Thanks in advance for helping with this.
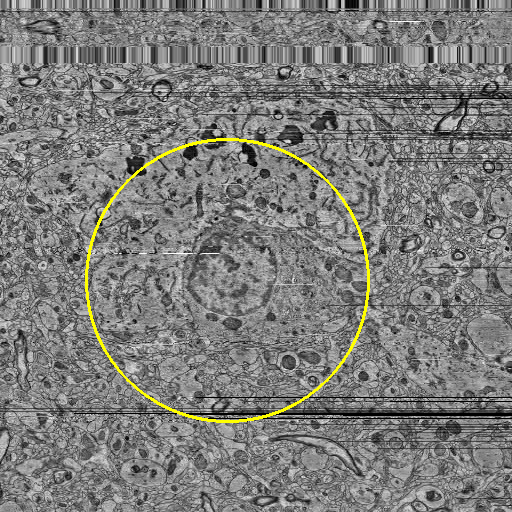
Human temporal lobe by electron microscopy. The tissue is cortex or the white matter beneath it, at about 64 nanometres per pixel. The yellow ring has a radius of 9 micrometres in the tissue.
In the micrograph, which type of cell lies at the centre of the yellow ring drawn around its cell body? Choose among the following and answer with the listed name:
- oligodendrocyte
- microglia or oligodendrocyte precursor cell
oligodendrocyte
